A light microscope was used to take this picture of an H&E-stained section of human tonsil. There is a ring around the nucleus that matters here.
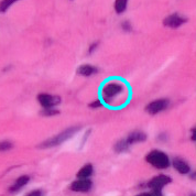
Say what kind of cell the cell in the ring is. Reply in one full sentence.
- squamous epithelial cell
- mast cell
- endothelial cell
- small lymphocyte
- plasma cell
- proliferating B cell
It is a mast cell that the cell in the ring represents.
